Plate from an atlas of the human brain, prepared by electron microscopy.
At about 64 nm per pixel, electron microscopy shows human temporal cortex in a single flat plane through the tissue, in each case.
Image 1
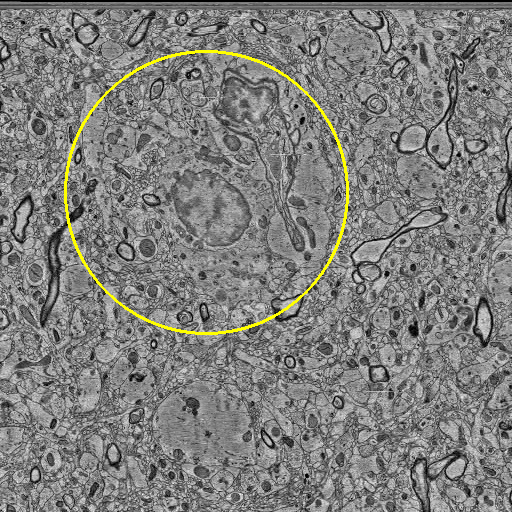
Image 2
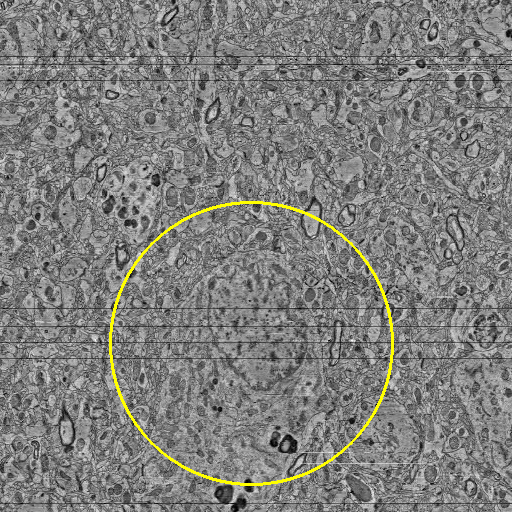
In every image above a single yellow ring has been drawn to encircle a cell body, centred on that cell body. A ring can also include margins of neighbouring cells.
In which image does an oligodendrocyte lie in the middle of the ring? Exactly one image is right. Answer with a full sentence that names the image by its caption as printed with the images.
Image 1 holds the requested cell at the very centre of its ring.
